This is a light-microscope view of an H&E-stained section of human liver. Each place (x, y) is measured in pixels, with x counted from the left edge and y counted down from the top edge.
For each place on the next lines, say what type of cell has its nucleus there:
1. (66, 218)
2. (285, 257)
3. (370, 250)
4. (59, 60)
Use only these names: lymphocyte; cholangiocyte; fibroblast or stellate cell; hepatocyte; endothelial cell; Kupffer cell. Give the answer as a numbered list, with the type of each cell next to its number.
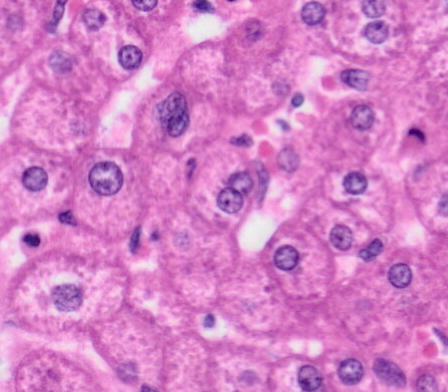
1. fibroblast or stellate cell
2. hepatocyte
3. fibroblast or stellate cell
4. hepatocyte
